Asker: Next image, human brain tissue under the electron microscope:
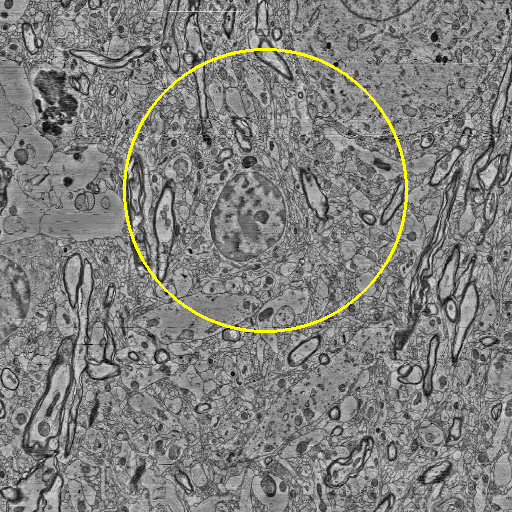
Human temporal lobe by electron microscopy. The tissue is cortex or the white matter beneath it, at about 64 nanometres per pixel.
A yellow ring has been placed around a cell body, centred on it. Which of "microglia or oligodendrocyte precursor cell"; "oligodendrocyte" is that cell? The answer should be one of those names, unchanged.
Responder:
microglia or oligodendrocyte precursor cell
